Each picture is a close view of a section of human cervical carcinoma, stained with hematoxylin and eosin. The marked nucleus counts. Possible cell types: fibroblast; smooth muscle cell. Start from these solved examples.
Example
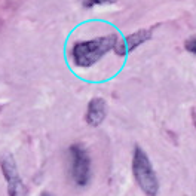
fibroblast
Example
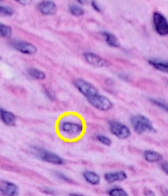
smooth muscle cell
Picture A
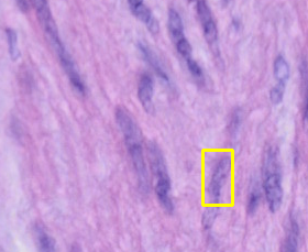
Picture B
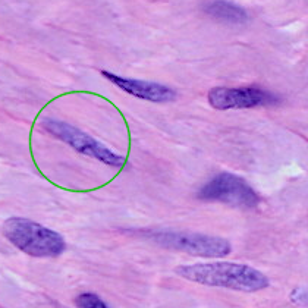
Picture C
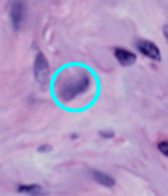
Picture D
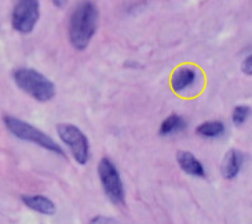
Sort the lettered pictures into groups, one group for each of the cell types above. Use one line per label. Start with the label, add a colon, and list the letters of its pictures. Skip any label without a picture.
fibroblast: B, C, D
smooth muscle cell: A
